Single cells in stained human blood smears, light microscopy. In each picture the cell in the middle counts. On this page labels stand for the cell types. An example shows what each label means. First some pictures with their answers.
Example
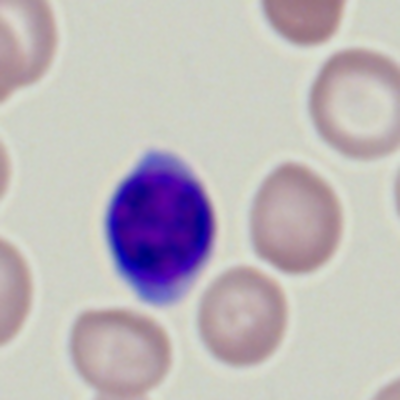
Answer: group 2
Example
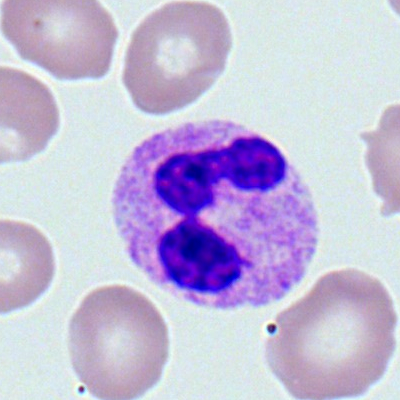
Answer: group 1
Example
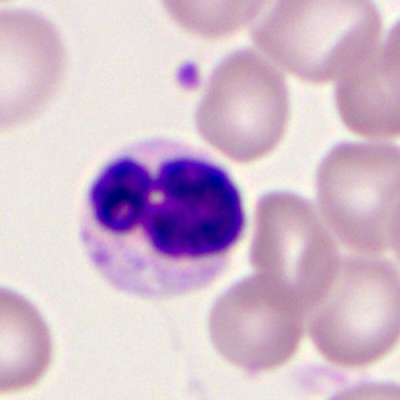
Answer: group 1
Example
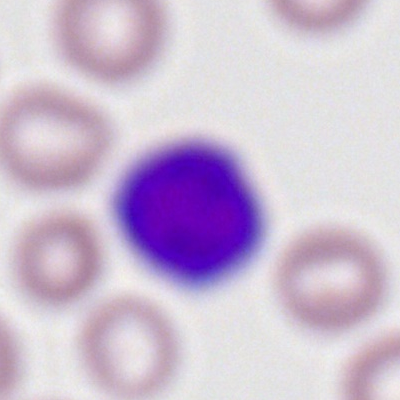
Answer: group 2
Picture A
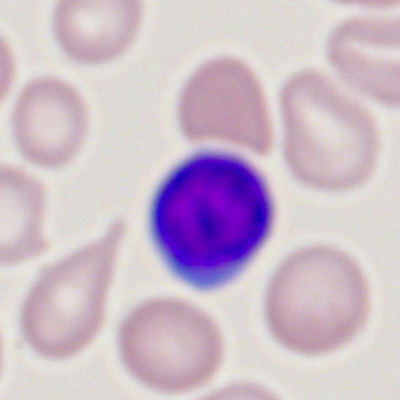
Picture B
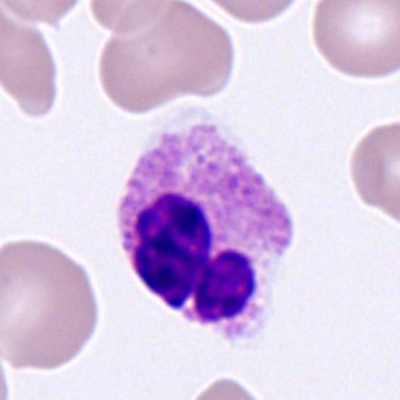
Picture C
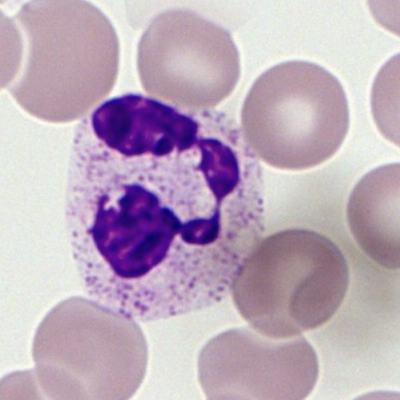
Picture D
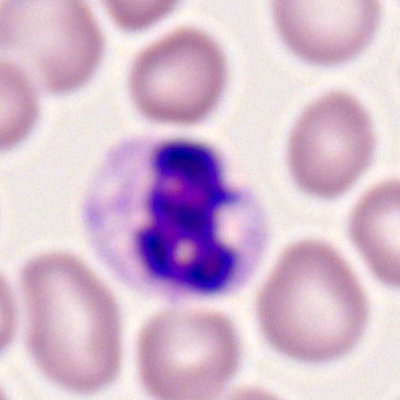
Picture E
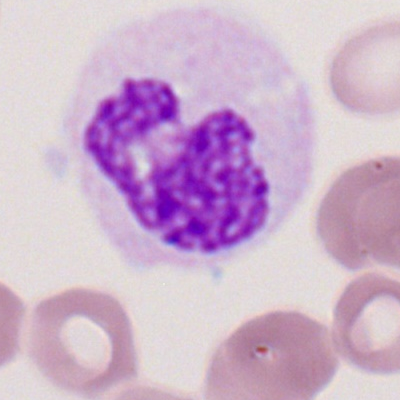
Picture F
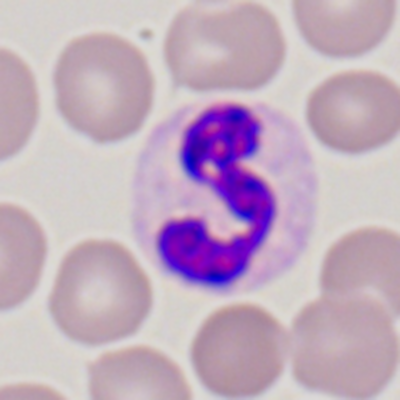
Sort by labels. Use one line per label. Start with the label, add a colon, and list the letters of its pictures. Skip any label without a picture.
group 2: A
group 1: B, C, D, E, F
